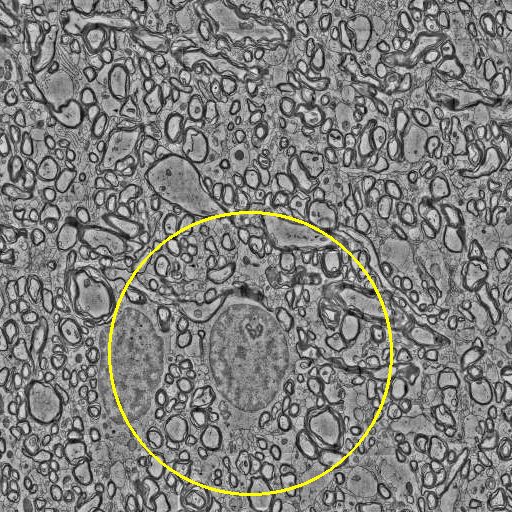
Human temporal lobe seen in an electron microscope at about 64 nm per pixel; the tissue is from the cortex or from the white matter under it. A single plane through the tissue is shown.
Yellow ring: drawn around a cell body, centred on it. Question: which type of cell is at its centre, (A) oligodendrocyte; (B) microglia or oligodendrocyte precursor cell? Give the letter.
A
